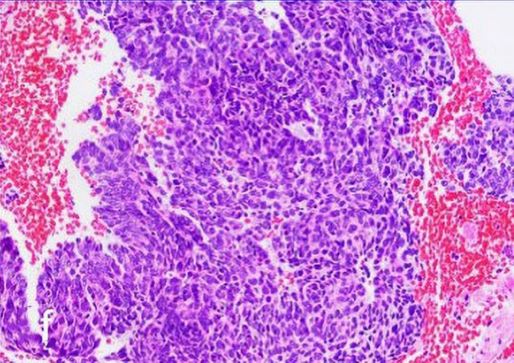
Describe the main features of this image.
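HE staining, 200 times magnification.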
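This is a tumour made of densely packed epithelial cells arranged in broad sheets and nests. The tumour cells have crowded, enlarged, dark purple nuclei with only scant pink cytoplasm. Their nuclei vary in size and shape. On both sides of the field, large areas of red blood cells lie next to the tumour sheets, as in haemorrhage.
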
